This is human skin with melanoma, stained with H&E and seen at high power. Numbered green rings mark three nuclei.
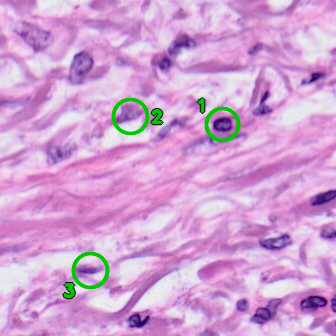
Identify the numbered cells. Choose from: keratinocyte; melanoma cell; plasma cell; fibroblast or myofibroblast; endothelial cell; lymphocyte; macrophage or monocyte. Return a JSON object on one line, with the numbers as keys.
{"1": "plasma cell", "2": "fibroblast or myofibroblast", "3": "fibroblast or myofibroblast"}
